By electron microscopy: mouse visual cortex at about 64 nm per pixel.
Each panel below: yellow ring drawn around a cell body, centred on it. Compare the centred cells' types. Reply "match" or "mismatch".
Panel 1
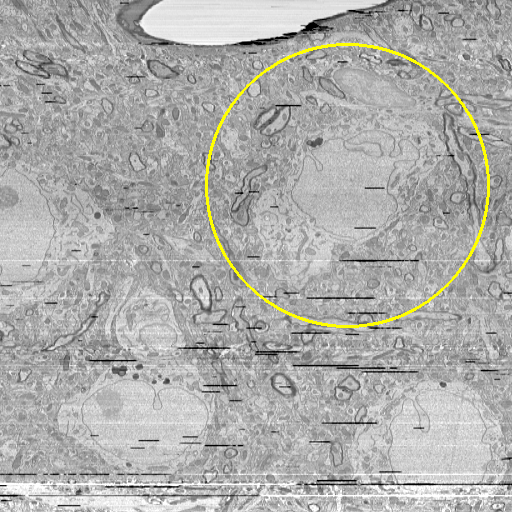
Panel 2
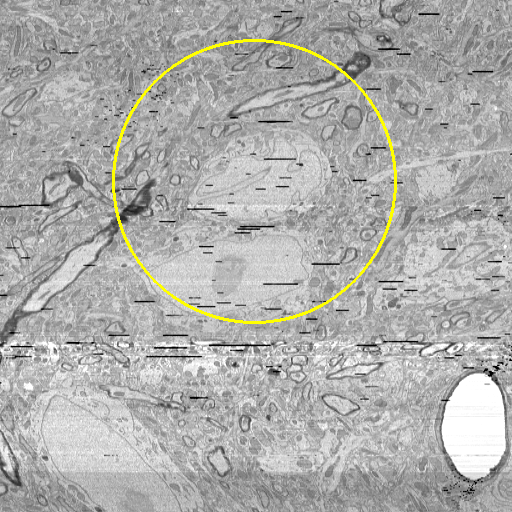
match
